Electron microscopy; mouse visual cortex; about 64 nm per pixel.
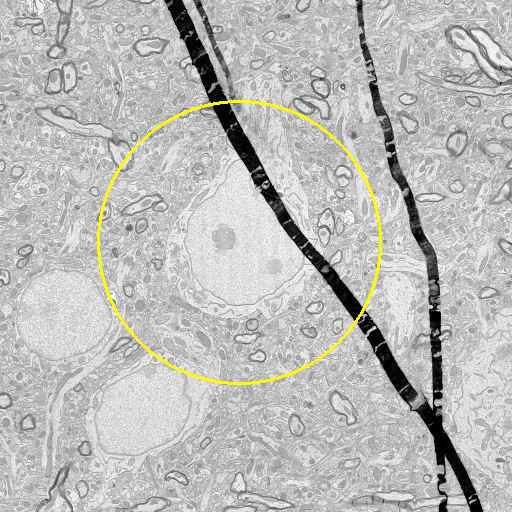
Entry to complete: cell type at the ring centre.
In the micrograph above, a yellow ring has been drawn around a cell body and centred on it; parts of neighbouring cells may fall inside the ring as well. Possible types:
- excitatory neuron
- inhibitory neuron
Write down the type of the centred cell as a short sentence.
The ring is centred on an excitatory neuron.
